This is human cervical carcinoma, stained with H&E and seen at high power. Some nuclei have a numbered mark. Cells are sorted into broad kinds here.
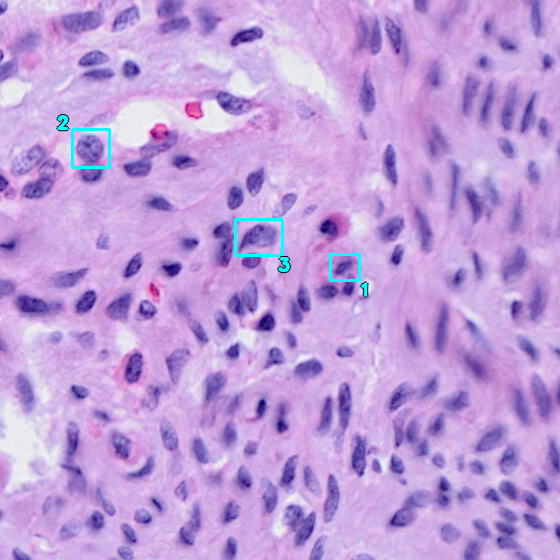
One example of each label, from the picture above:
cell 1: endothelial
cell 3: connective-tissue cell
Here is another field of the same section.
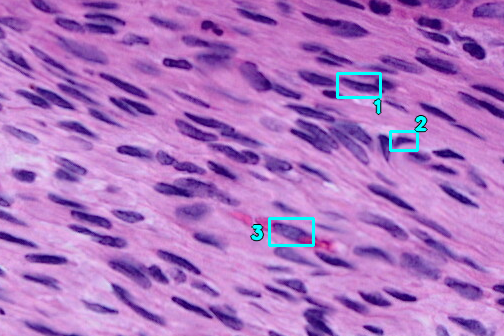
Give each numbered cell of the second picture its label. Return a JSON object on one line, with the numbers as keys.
{"1": "connective-tissue cell", "2": "connective-tissue cell", "3": "endothelial"}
